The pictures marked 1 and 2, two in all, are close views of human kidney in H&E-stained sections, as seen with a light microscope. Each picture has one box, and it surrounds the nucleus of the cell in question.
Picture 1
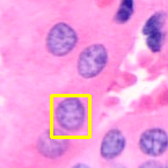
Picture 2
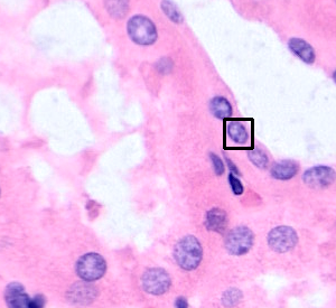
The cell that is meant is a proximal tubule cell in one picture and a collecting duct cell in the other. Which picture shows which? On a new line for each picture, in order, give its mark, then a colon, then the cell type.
1: proximal tubule cell
2: collecting duct cell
